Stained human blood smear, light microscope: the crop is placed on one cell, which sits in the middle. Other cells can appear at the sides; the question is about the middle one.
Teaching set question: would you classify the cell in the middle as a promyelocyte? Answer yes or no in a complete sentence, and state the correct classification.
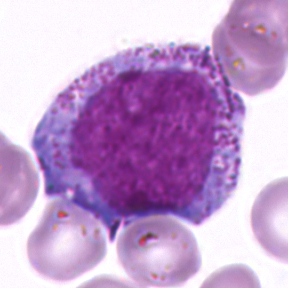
Yes, the middle of the crop is occupied by a promyelocyte.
